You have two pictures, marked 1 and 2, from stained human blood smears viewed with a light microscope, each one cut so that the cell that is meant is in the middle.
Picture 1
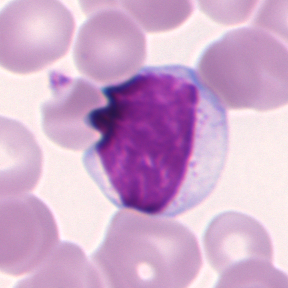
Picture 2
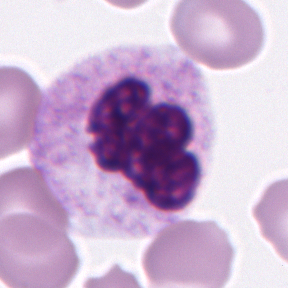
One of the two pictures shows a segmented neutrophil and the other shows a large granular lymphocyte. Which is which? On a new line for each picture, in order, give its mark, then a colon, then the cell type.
1: large granular lymphocyte
2: segmented neutrophil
